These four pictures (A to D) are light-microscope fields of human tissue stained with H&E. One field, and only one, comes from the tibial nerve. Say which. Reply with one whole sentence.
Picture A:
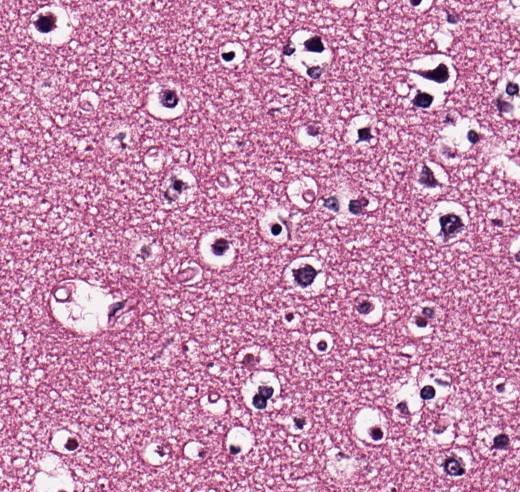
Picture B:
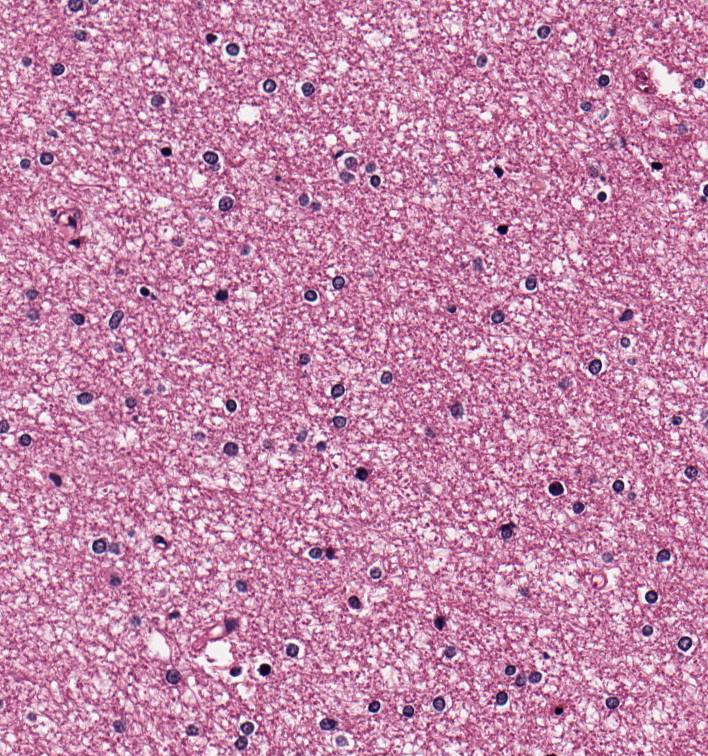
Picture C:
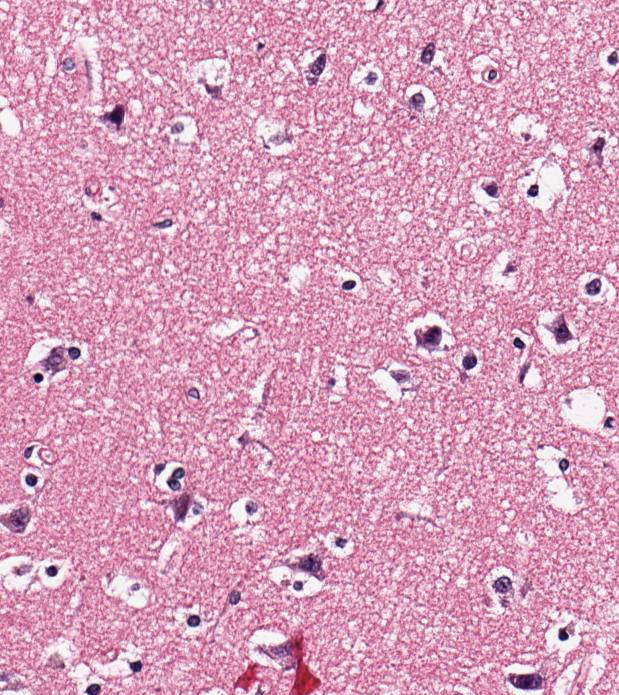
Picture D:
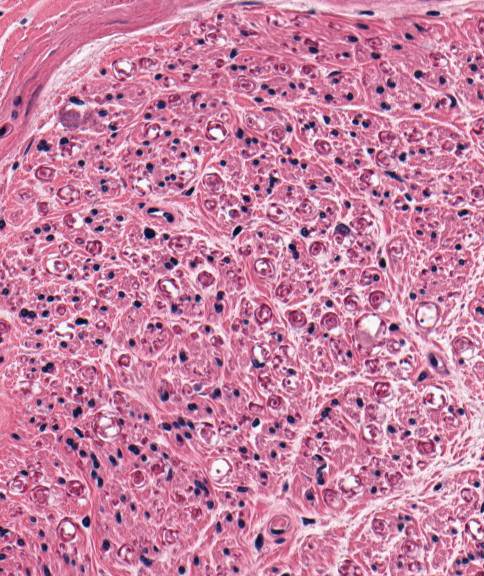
It is picture D that comes from the tibial nerve.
